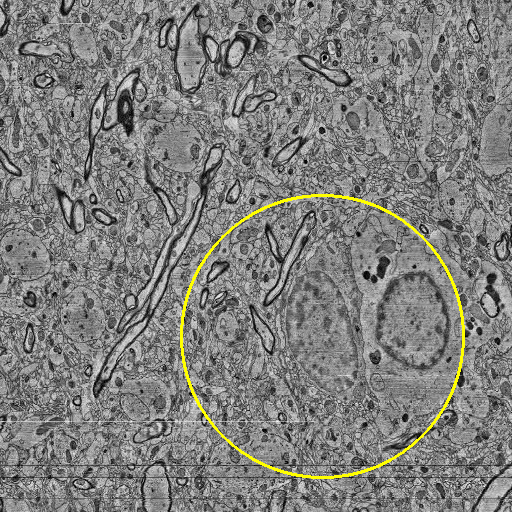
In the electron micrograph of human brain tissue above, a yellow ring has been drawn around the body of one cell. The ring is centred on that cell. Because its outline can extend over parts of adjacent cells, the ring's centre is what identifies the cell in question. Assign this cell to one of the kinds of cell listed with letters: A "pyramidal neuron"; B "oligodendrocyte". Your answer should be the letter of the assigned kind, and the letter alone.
B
